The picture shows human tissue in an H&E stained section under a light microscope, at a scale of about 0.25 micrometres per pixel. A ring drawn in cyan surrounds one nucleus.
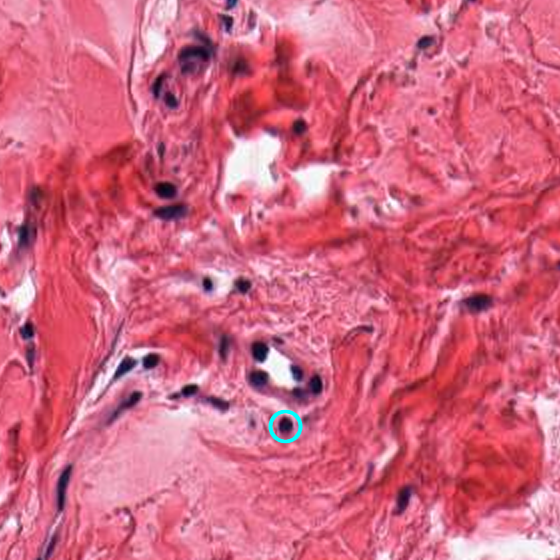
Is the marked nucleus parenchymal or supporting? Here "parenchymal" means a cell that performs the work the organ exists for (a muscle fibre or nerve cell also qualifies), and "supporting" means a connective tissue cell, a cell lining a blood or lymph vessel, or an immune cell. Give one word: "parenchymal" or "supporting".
supporting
